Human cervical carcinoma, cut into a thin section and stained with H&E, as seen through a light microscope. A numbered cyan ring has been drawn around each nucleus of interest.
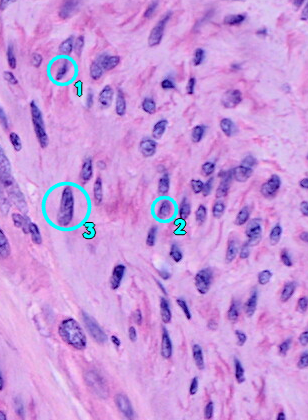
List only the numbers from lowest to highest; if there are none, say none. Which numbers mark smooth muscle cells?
1, 2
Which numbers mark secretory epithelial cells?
none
